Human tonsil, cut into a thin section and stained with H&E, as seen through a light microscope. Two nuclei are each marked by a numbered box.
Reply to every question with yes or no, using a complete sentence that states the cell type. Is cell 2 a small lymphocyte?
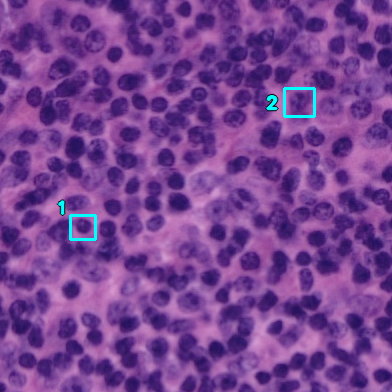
No, the cell given number 2 is a plasma cell, as opposed to a small lymphocyte.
